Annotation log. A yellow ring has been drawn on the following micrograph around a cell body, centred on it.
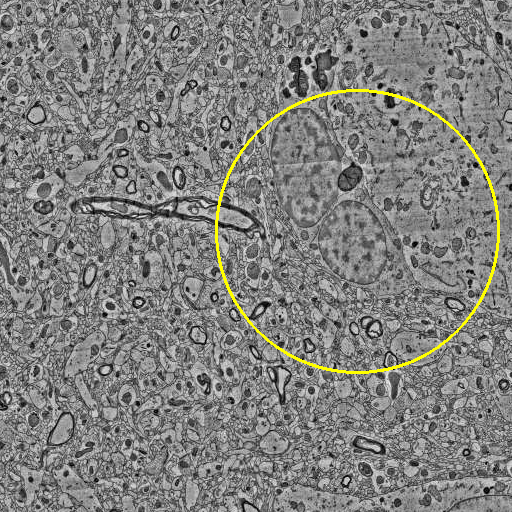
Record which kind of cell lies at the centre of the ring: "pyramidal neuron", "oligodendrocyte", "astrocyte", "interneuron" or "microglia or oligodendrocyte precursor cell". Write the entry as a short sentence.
The cell the ring is centred on is an oligodendrocyte.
